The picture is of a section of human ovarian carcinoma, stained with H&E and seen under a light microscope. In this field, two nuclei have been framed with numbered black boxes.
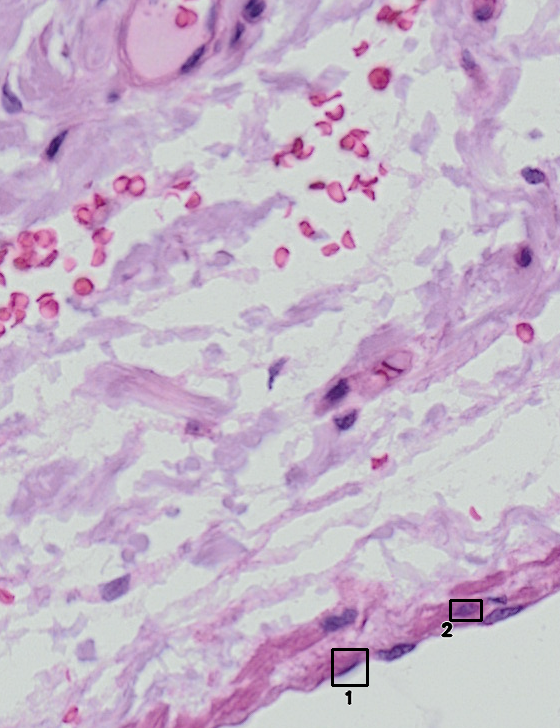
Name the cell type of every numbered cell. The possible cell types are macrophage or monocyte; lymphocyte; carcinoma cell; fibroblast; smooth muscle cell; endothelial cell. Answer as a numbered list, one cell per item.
1. endothelial cell
2. smooth muscle cell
